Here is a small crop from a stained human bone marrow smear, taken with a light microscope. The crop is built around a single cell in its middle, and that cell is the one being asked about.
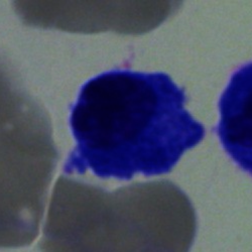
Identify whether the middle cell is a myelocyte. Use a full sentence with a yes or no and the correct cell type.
No, the cell occupying the centre is a plasma cell, not a myelocyte.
